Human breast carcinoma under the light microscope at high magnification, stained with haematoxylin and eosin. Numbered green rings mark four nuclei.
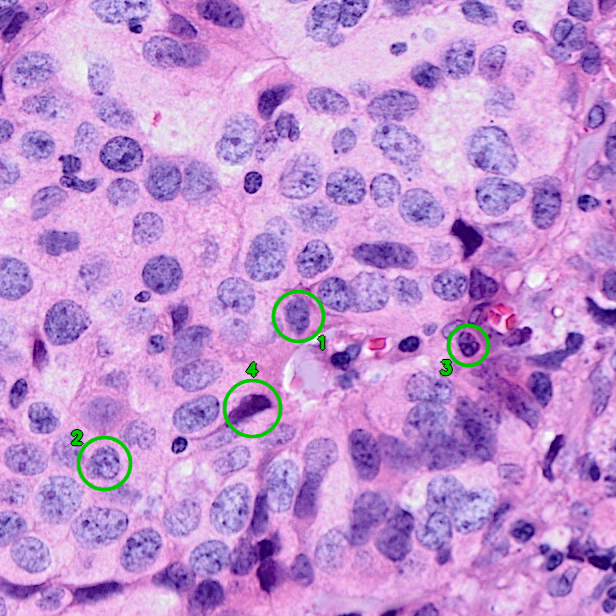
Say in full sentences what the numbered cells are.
Cell 1 is a carcinoma cell, cell 2 is a carcinoma cell, cell 3 is a lymphocyte and cell 4 is a carcinoma cell.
